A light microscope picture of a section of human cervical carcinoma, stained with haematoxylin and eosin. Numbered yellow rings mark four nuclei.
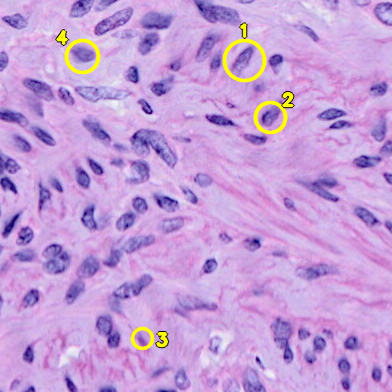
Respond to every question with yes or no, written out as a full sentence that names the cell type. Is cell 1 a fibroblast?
No. Cell number 1 is a smooth muscle cell, not a fibroblast.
